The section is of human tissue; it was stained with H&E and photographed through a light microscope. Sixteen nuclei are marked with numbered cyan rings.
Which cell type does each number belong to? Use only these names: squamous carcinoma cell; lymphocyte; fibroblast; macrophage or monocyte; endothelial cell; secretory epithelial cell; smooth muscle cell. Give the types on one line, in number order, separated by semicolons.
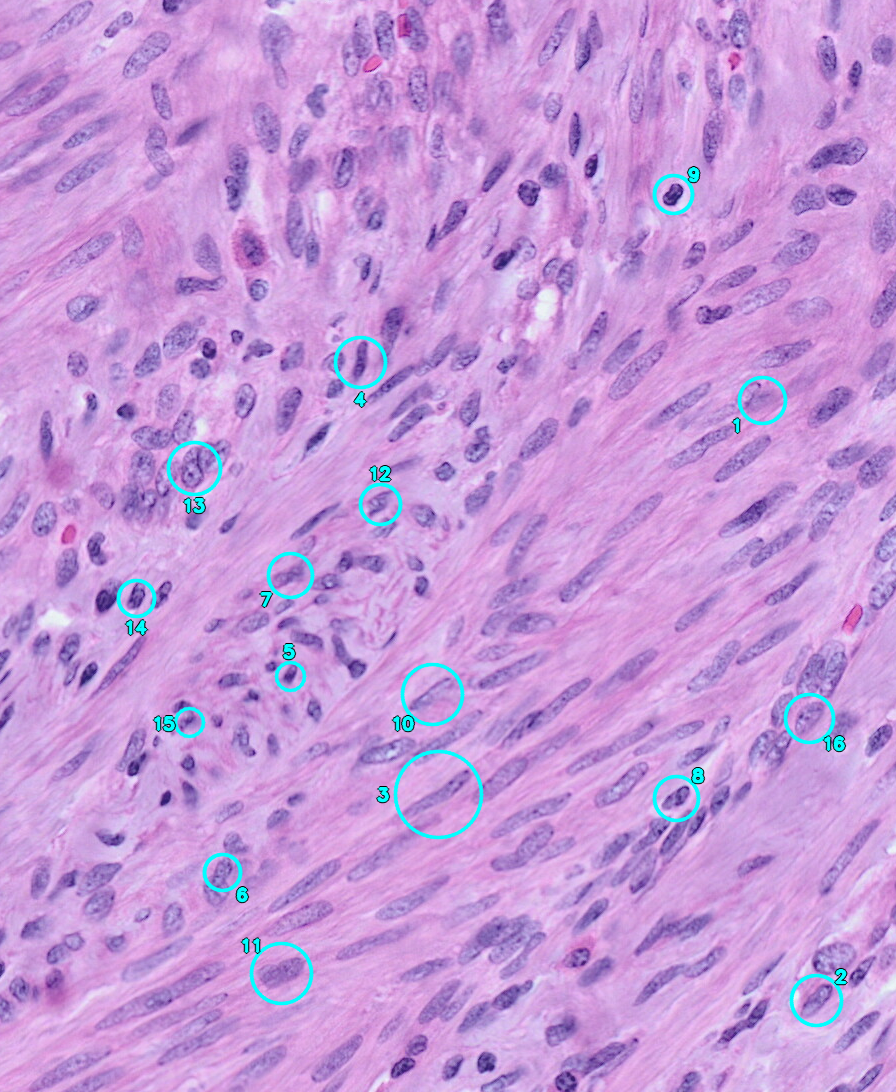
smooth muscle cell; endothelial cell; smooth muscle cell; fibroblast; smooth muscle cell; smooth muscle cell; smooth muscle cell; lymphocyte; lymphocyte; smooth muscle cell; smooth muscle cell; smooth muscle cell; endothelial cell; lymphocyte; smooth muscle cell; endothelial cell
